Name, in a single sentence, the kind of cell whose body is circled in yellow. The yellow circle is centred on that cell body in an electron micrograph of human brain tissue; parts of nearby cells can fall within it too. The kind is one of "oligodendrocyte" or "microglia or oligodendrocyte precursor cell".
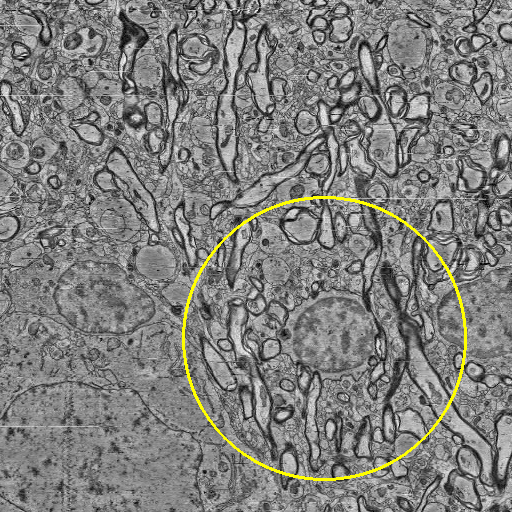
The circled cell body belongs to an oligodendrocyte.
